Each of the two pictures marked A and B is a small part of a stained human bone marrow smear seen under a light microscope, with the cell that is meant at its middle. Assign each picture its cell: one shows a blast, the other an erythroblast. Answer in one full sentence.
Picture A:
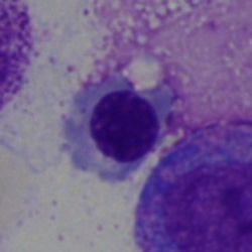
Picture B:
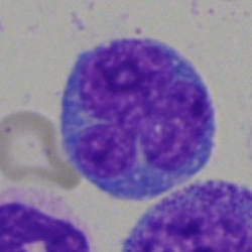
Picture A is of an erythroblast, and picture B is of a blast.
